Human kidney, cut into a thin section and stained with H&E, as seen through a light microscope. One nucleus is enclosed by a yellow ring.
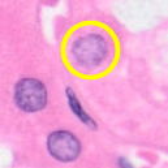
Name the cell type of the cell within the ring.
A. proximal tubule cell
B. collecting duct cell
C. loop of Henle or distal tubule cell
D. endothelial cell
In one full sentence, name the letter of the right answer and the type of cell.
Option A holds, since the cell within the ring is a proximal tubule cell.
